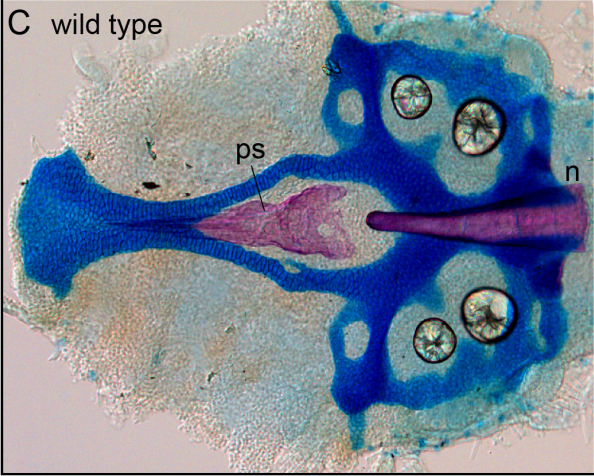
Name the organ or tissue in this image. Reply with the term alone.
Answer: Neurocrania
